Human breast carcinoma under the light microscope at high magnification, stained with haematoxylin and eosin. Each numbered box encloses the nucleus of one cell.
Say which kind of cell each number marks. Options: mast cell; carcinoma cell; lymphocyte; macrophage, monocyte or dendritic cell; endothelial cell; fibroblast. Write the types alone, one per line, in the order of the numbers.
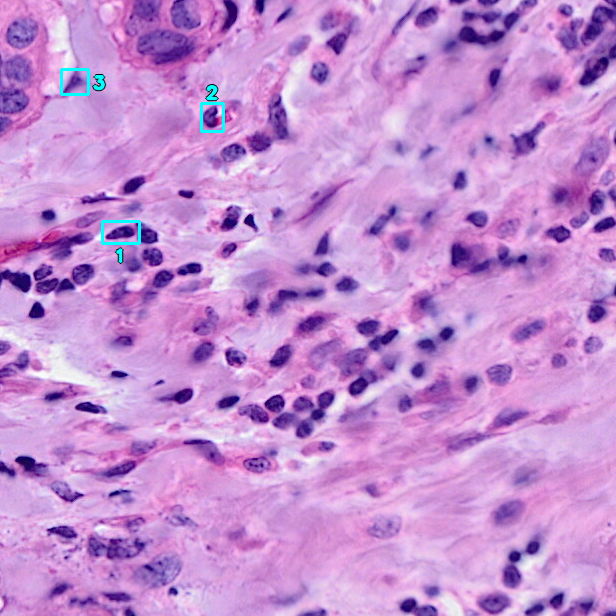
lymphocyte
endothelial cell
fibroblast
